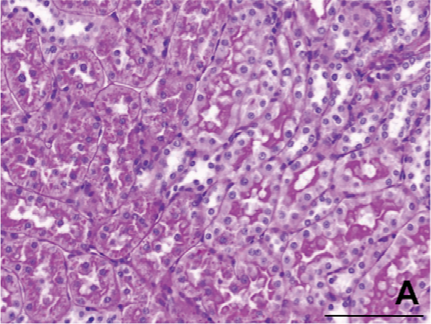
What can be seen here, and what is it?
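Closely packed kidney tubules are lined by cuboidal epithelial cells with pink granular cytoplasm and round, regularly spaced nuclei, around small lumens. These are intact proximal convoluted tubules without lesion.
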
